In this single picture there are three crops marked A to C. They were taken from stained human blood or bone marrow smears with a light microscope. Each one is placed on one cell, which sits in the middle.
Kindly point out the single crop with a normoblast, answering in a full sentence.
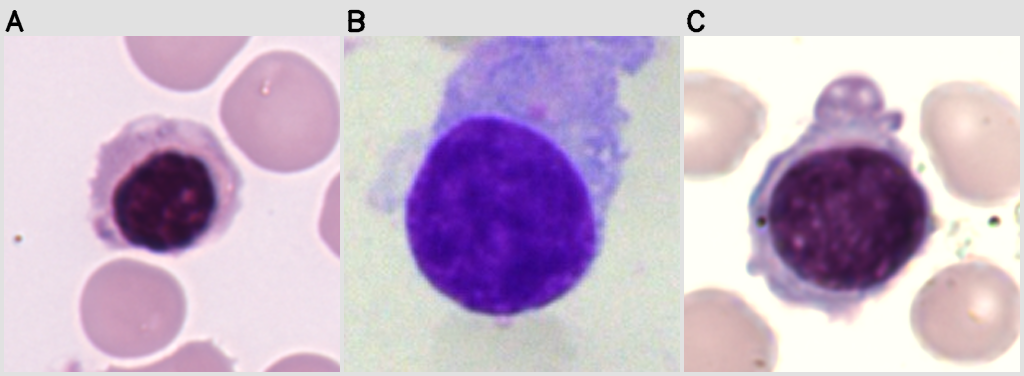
The crop with a normoblast at its center is crop A.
